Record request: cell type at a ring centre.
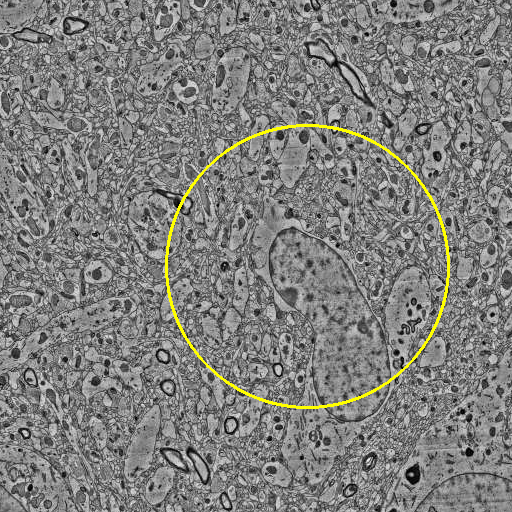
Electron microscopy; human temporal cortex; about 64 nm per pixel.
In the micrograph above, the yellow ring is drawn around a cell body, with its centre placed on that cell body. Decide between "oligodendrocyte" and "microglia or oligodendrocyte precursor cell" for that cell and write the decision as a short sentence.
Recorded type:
The cell centred in the yellow ring is a microglial cell or oligodendrocyte precursor cell.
